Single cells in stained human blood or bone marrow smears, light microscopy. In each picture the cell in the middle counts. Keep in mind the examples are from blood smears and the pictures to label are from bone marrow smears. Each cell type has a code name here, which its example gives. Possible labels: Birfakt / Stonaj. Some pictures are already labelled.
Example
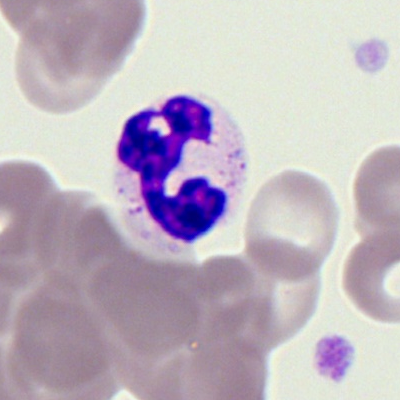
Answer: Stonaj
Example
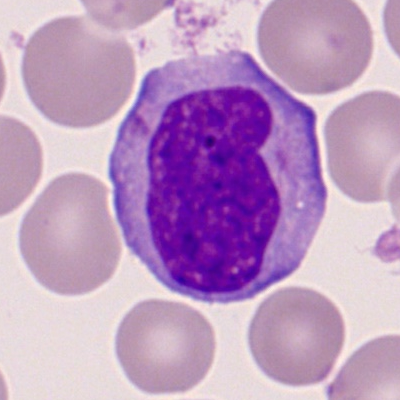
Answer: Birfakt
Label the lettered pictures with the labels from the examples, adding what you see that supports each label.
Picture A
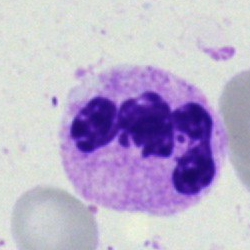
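Stonaj. Evidence: The cytoplasm is abundant and pale pinkish-lilac.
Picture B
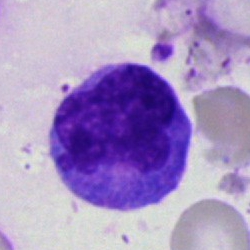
Birfakt. Evidence: The nucleus fills most of the cell and lies towards its upper part.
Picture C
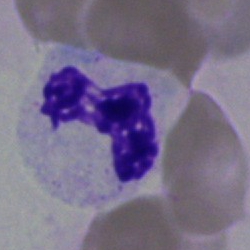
Stonaj. Evidence: The cytoplasm is abundant, with the widest part below and to the left of the nucleus.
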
